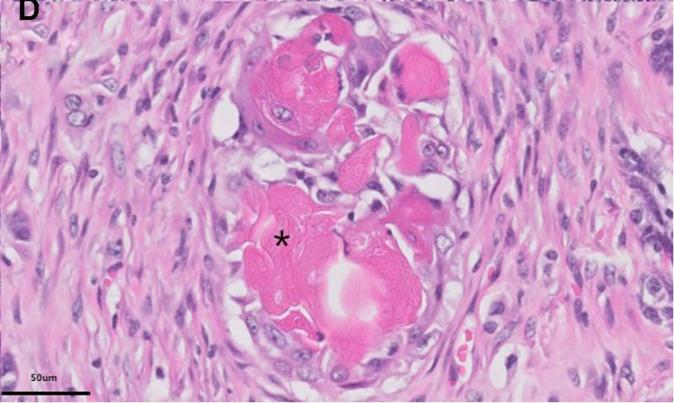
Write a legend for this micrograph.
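A nest of ghost cells sits within a stroma of spindle-shaped cells with oval nuclei. The ghost cells are bright pink, glassy, cell-shaped masses lacking nuclei, clustered together with small clefts between them.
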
